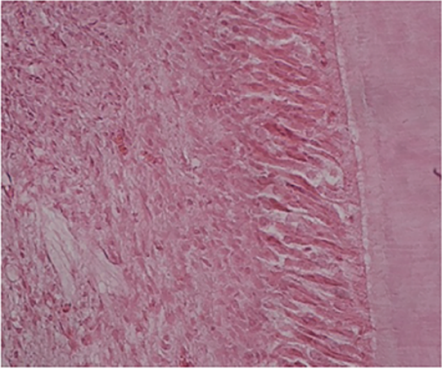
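This is pulp tissue beside a smooth, uniformly pale pink band of hard tissue on the right. Along the border with the hard tissue, elongated cells are lined up side by side in a palisade, oriented perpendicular to the border. To the left, the pulp core is a loose connective tissue of pink-stained cells and fibres.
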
